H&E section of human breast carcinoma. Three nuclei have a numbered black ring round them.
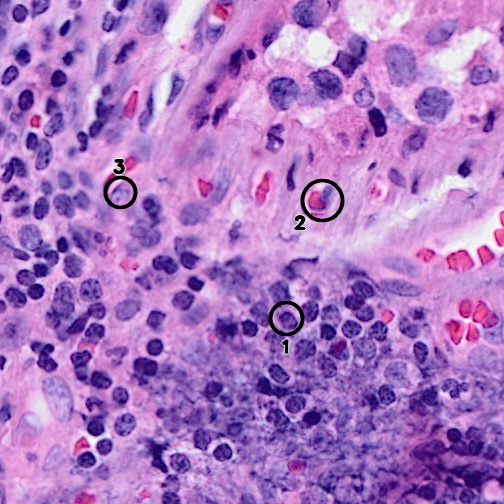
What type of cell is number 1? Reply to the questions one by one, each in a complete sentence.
The cell that carries the label 1 is a lymphocyte.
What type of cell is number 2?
Nucleus 2 in this section belongs to an endothelial cell.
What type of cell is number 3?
The cell that carries the label 3 is an endothelial cell.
